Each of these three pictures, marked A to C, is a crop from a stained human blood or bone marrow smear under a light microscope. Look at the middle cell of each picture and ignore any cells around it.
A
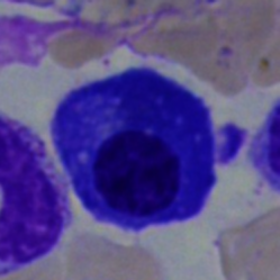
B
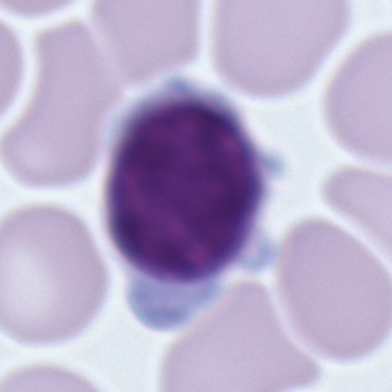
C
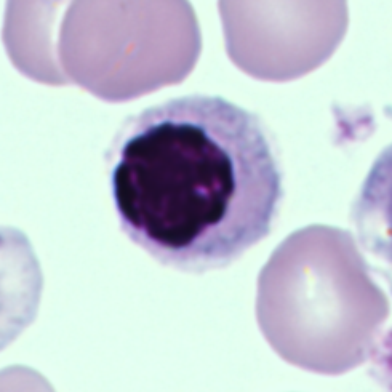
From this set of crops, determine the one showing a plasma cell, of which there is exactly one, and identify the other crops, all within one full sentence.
Depicted in crop A is a plasma cell, while crop B is a lymphocyte and crop C is an erythroblast.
